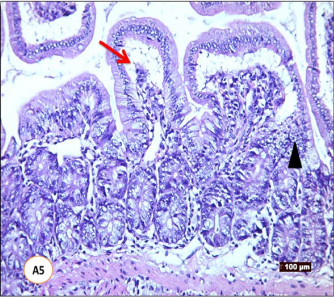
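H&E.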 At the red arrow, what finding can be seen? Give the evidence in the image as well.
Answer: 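Vacuolation of the core of villi. Clear empty spaces lie inside the core of the projection the arrow points to.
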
